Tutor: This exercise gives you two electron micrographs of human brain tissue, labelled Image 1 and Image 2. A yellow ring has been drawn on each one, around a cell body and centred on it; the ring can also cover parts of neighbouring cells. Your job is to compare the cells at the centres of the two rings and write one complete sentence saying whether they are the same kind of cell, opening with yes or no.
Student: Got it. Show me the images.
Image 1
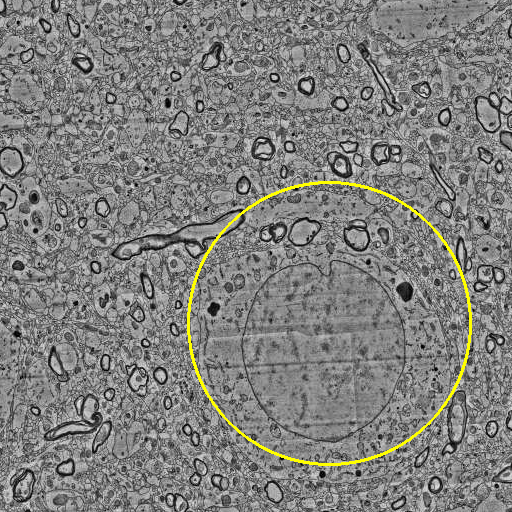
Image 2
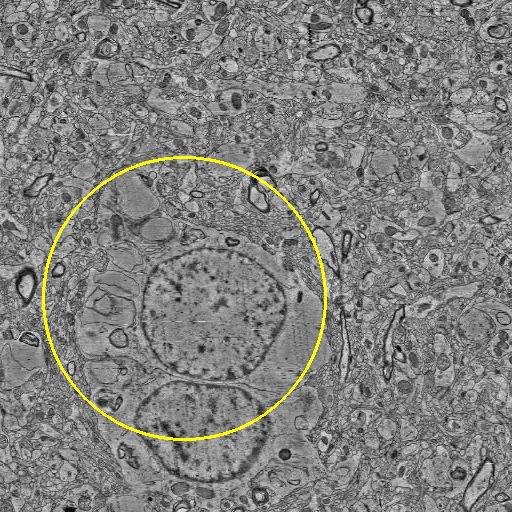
No, the two cells belong to two kinds.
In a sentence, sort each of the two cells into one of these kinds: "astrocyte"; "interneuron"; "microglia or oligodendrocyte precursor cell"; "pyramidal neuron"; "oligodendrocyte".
The first of the two cells is a pyramidal neuron, and the second is an astrocyte.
